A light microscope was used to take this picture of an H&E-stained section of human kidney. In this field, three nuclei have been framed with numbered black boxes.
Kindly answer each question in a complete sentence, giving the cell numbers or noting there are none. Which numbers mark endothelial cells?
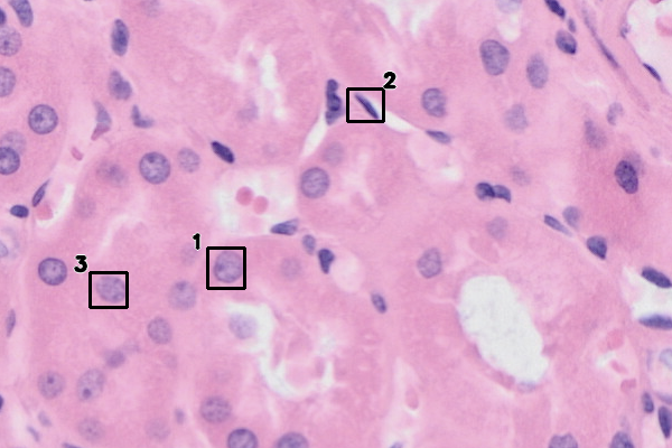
Cell 2 is an endothelial cell; no further numbered cell is.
